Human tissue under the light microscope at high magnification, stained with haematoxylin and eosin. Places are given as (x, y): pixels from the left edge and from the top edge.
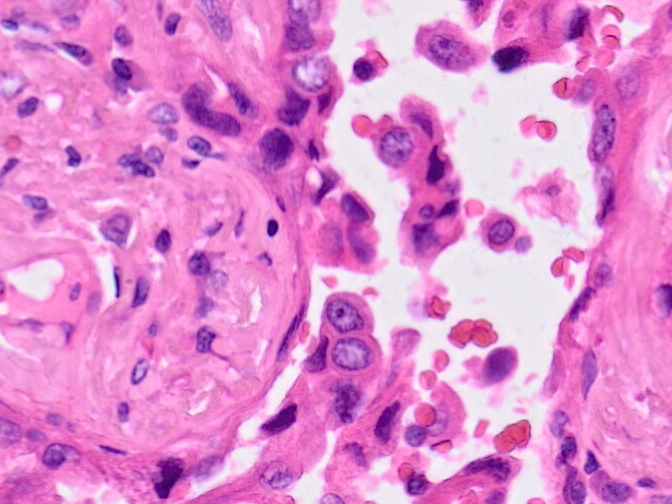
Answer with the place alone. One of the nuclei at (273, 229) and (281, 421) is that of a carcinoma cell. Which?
(281, 421)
